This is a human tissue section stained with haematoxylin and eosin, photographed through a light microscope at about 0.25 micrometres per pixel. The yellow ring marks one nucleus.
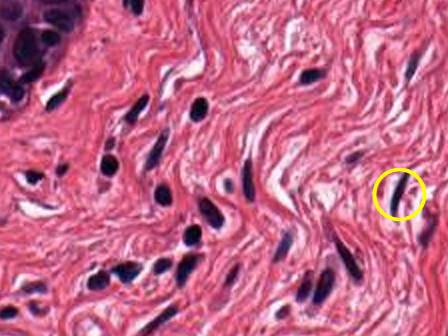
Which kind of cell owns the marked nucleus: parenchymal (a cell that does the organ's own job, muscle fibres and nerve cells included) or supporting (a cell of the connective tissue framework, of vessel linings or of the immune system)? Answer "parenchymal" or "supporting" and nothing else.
supporting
